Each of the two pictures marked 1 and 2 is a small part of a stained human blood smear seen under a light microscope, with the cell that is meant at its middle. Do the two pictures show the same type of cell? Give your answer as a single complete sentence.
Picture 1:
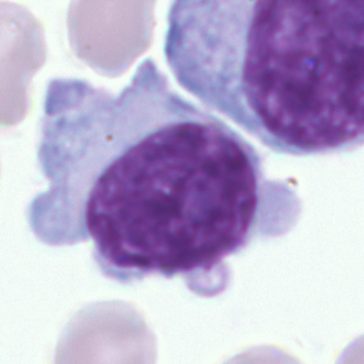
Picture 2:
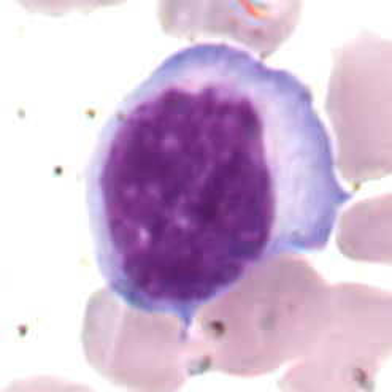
Yes, they are the same type: both are plasma cells.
